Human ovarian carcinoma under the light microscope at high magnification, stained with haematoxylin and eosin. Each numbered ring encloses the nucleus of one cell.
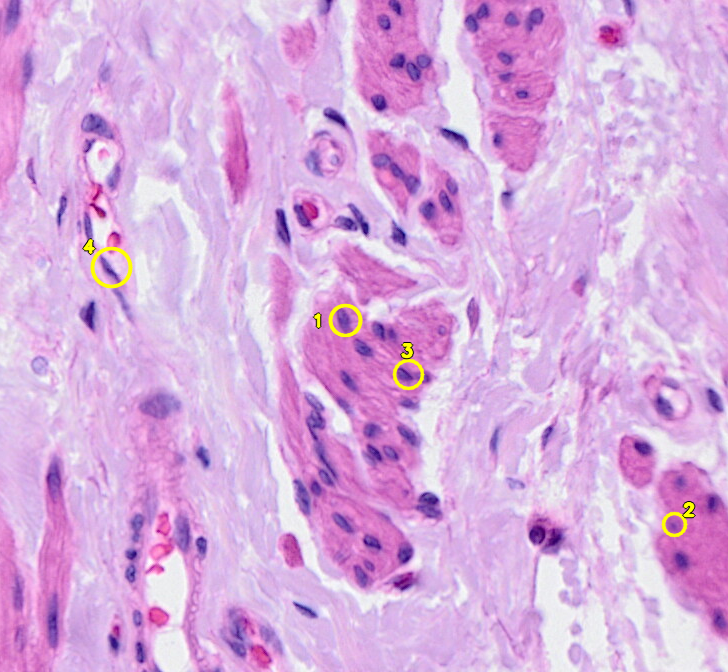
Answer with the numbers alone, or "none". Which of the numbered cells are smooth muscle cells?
1, 2, 3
